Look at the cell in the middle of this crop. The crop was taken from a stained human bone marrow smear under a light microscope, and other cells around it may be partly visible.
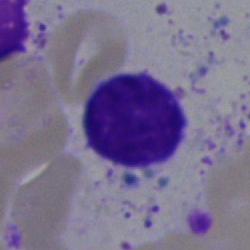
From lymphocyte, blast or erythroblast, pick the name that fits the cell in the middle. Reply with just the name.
lymphocyte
